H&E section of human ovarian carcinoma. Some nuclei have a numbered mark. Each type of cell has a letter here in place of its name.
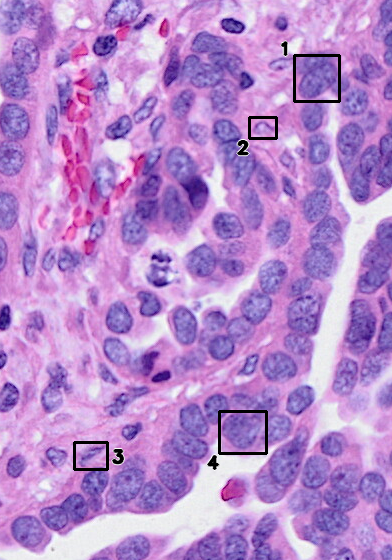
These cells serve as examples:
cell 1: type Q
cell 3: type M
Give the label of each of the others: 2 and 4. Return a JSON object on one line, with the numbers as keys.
{"2": "type M", "4": "type Q"}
